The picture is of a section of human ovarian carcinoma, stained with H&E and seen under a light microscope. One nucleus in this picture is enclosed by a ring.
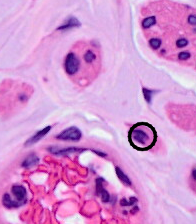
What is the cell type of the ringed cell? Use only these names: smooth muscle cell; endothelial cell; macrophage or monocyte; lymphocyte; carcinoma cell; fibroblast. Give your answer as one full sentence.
For the purposes of cell typing, the ringed cell is categorized as a smooth muscle cell.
